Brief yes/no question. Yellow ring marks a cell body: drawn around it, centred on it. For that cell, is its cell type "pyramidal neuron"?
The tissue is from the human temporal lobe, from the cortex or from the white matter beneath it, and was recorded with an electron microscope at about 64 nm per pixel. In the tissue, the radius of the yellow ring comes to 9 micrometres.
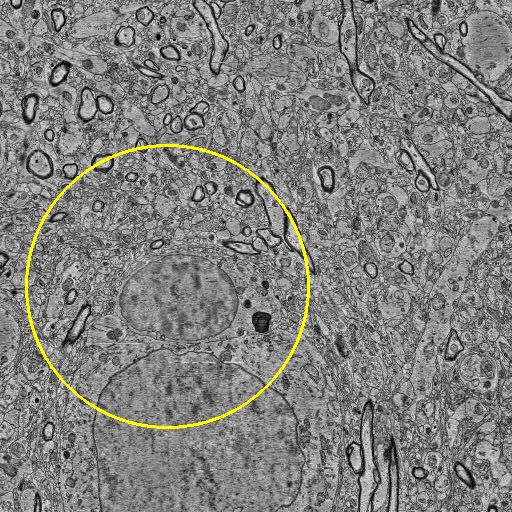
No, the cell type is another.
